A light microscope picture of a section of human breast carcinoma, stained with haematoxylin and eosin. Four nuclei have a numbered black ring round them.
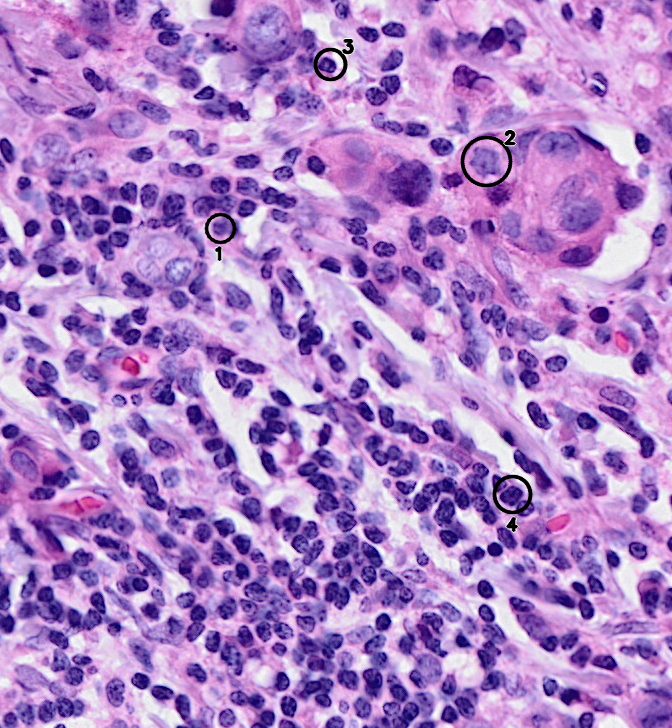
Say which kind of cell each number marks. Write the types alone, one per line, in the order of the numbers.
lymphocyte
carcinoma cell
lymphocyte
lymphocyte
